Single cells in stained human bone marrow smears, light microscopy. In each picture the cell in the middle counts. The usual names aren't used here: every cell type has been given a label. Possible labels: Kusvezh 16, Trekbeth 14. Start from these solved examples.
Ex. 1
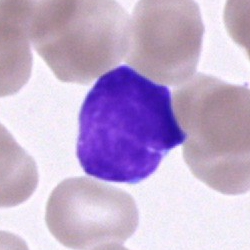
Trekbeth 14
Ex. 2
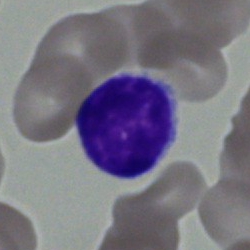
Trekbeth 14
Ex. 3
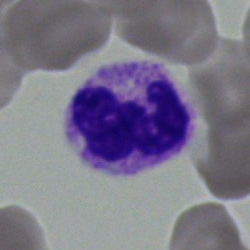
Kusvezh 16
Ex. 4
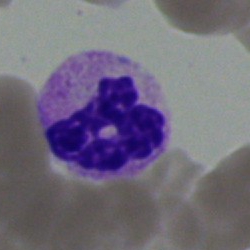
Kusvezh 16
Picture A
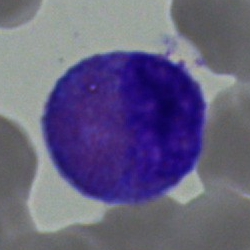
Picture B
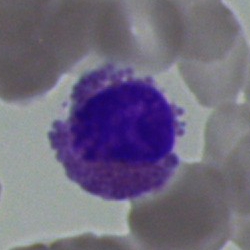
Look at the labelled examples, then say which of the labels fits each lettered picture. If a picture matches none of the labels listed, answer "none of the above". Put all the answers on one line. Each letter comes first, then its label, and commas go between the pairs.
A none of the above, B none of the above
